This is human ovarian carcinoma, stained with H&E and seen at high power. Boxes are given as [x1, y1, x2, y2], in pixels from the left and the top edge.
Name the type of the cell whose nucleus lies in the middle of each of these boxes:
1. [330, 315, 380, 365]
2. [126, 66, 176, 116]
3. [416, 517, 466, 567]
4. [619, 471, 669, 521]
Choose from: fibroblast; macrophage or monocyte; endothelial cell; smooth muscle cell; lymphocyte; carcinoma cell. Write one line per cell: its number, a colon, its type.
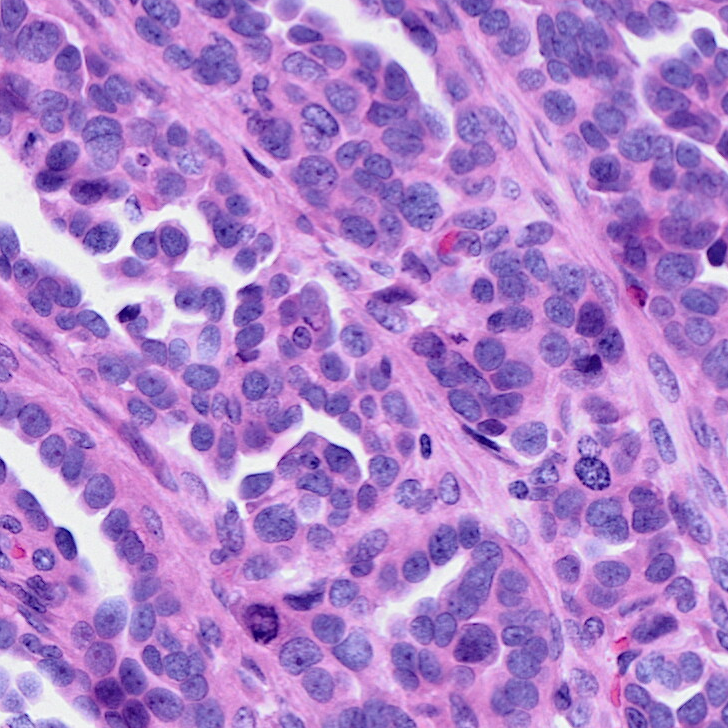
1: carcinoma cell
2: fibroblast
3: carcinoma cell
4: carcinoma cell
